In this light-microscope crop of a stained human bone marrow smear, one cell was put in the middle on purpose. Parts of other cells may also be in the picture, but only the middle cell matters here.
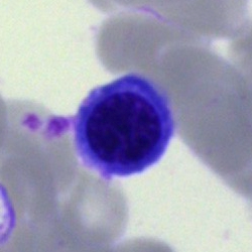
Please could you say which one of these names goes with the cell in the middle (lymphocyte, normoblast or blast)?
normoblast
